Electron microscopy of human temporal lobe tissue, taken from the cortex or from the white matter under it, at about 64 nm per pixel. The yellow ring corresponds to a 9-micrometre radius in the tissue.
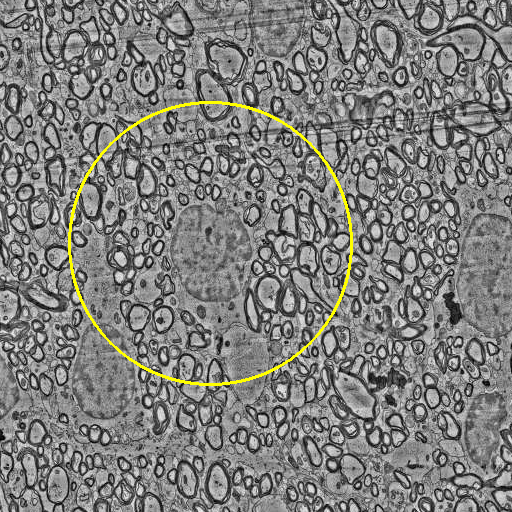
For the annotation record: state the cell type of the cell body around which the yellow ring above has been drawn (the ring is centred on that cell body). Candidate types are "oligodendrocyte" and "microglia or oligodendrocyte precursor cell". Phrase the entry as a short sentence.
The ringed cell is an oligodendrocyte.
